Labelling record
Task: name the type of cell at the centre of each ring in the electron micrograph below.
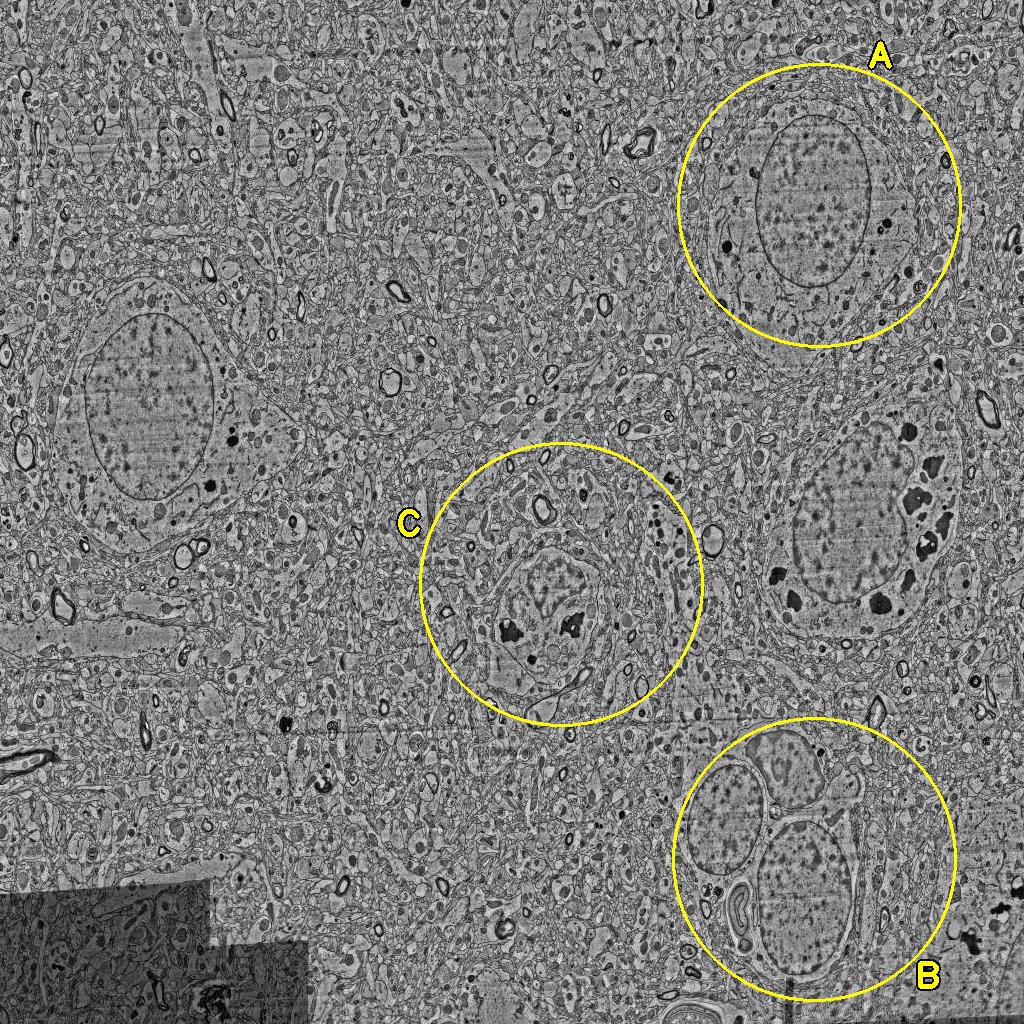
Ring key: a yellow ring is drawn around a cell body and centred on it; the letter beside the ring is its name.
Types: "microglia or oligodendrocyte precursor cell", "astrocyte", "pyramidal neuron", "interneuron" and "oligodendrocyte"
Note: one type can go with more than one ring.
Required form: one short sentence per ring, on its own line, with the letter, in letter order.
In ring A, the centred cell is a pyramidal neuron.
In ring B, the centred cell is an astrocyte.
In ring C, the centred cell is an interneuron.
